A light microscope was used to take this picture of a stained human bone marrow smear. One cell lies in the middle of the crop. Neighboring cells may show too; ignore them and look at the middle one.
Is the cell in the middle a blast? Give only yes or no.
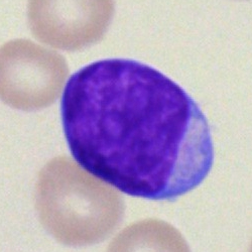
yes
